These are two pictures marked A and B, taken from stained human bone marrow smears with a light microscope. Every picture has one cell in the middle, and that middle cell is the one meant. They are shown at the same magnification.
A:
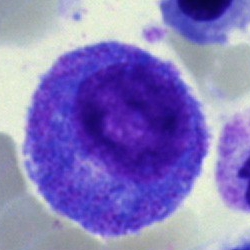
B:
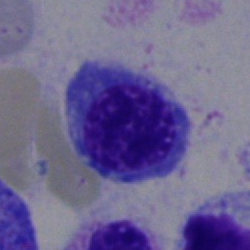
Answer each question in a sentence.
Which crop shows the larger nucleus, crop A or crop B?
Larger is the nucleus in crop A, at roughly 2 times the area of the other.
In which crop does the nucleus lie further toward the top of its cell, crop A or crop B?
In crop A the nucleus is shifted more toward the top.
